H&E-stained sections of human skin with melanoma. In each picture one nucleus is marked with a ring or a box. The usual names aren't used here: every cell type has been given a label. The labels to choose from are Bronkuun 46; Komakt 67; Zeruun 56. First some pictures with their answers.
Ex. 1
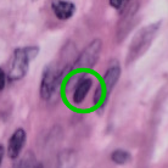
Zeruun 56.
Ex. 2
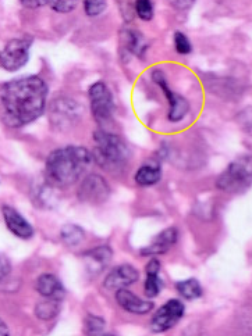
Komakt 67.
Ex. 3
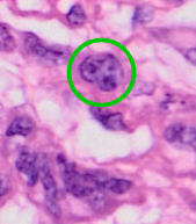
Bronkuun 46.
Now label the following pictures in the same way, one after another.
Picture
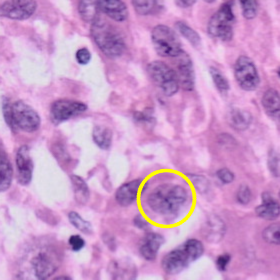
Bronkuun 46.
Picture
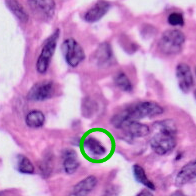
Bronkuun 46.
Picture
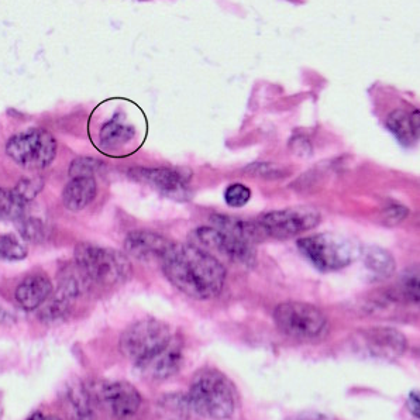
Komakt 67.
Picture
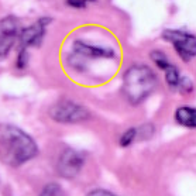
Zeruun 56.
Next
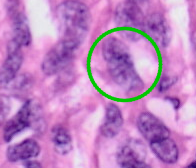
Bronkuun 46.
